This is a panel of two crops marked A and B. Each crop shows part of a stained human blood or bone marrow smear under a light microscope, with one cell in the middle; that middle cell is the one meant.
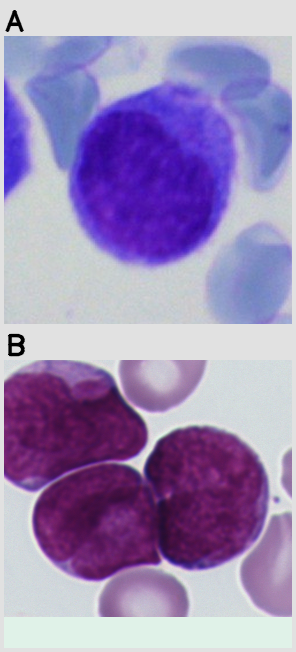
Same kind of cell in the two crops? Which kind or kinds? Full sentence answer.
Yes, the two crops are alike in showing blasts.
